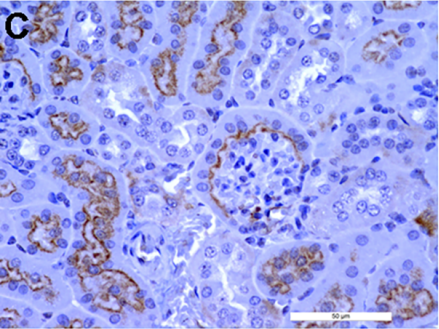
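Kidney cortex with a glomerulus and surrounding tubules. The glomerulus sits centrally within its capsule, its tuft of capillary loops and small nuclei stained blue, with some brown at its edge. Around it lie tubules in cross-section, lined by cuboidal epithelial cells with round blue nuclei. In many tubules the cytoplasm shows brown granular stain, strongest toward the lumen, while other tubules are nearly unstained and pale. Interstitium between tubules is scant with occasional flattened nuclei.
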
